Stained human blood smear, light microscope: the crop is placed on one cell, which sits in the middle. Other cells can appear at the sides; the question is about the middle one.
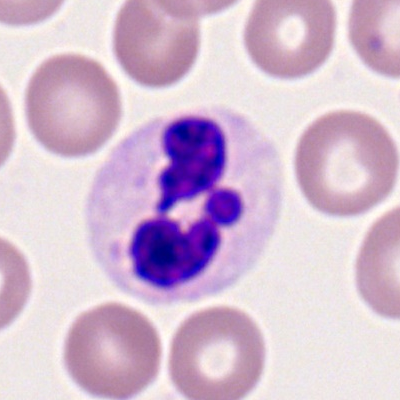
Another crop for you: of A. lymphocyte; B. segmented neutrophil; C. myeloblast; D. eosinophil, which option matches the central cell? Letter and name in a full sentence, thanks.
Located in the middle of the crop is a segmented neutrophil, and option B is therefore correct.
